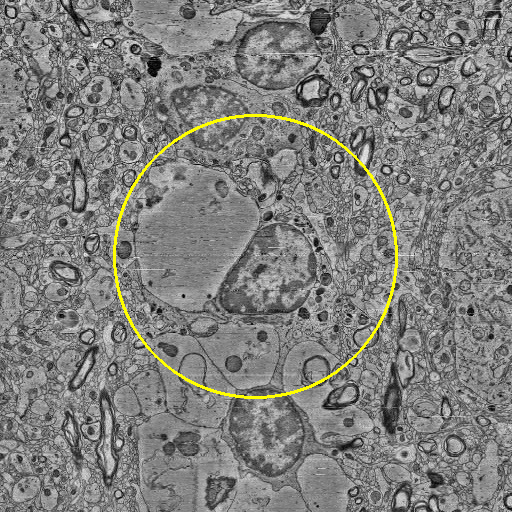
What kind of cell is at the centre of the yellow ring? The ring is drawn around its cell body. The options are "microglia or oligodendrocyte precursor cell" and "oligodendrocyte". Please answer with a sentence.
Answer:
The yellow ring marks the cell body of a microglial cell or oligodendrocyte precursor cell.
